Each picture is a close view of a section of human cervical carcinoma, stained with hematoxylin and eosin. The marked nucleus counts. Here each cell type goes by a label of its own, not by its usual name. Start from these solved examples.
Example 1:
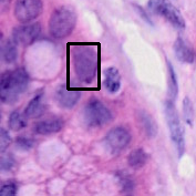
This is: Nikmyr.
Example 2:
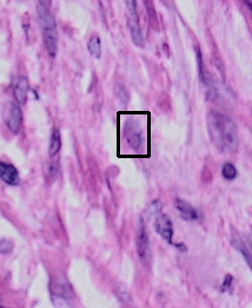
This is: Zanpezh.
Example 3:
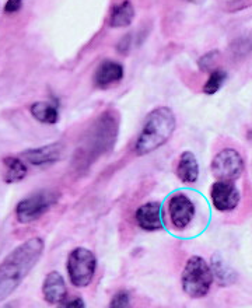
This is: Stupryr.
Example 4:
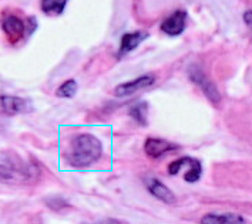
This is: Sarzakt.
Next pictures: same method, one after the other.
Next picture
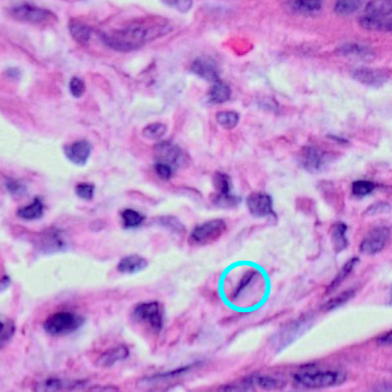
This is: Zanpezh.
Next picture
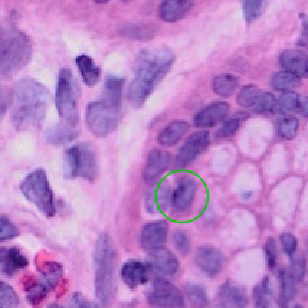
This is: Nikmyr.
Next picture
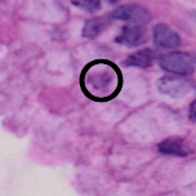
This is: Nikmyr.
